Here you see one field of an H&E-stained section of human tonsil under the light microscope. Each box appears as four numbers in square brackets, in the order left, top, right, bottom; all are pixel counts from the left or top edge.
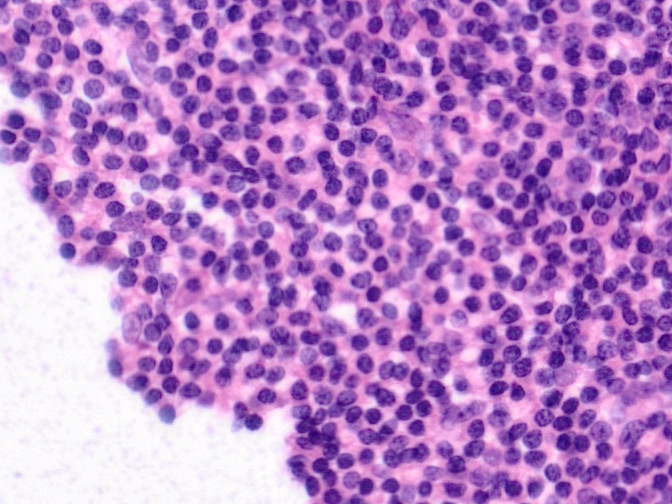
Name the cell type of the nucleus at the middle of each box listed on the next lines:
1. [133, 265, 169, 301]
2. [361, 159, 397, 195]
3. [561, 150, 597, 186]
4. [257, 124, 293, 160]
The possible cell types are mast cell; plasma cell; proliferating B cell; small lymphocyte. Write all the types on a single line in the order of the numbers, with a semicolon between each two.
small lymphocyte; small lymphocyte; proliferating B cell; small lymphocyte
